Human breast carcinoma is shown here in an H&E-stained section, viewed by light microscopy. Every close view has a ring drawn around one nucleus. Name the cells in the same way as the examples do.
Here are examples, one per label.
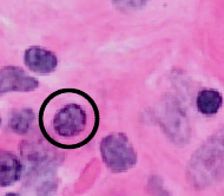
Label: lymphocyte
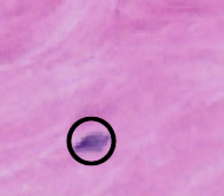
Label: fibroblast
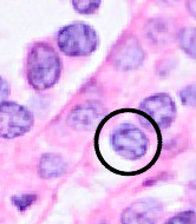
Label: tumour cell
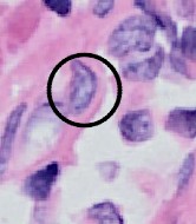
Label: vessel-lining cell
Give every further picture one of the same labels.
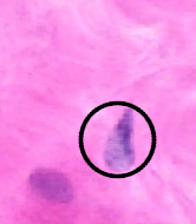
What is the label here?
fibroblast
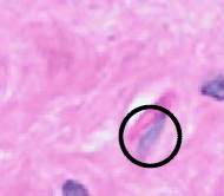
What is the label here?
vessel-lining cell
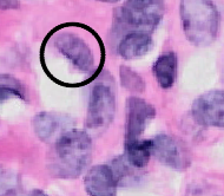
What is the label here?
tumour cell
